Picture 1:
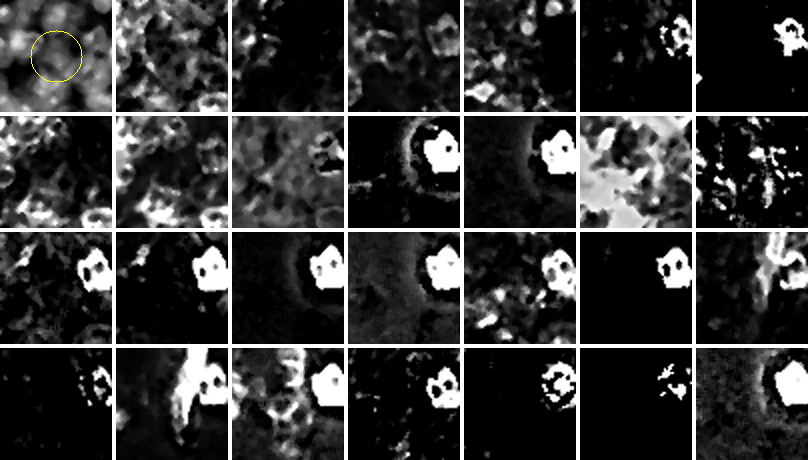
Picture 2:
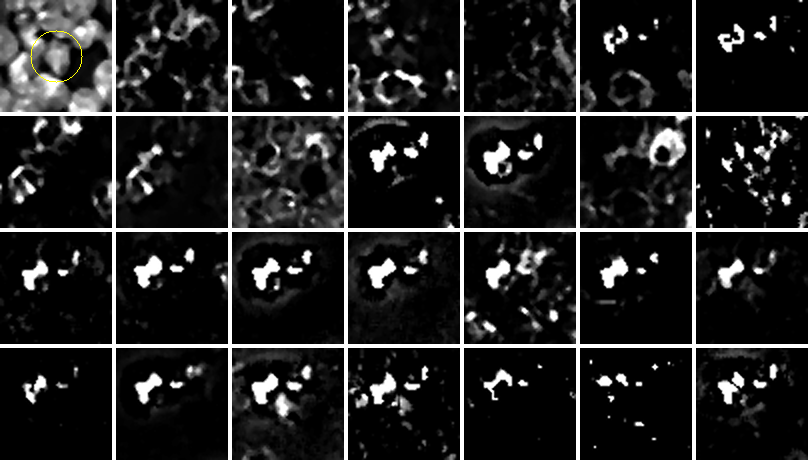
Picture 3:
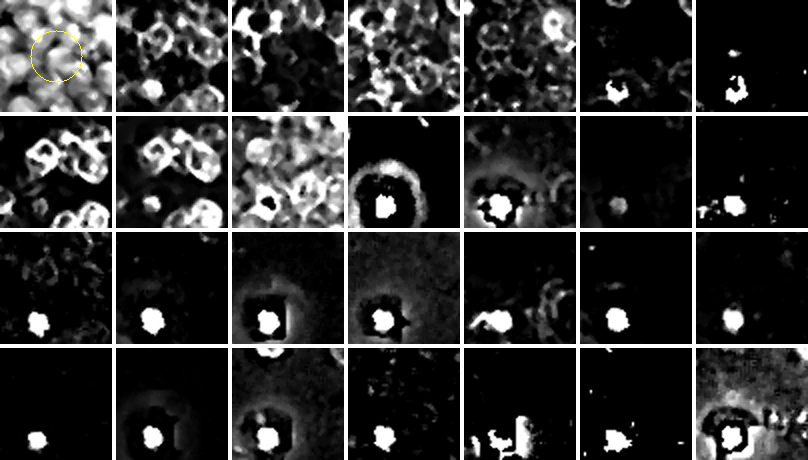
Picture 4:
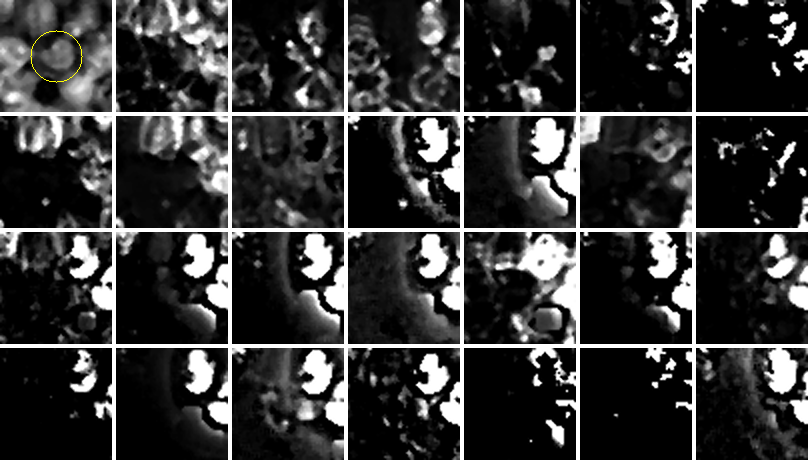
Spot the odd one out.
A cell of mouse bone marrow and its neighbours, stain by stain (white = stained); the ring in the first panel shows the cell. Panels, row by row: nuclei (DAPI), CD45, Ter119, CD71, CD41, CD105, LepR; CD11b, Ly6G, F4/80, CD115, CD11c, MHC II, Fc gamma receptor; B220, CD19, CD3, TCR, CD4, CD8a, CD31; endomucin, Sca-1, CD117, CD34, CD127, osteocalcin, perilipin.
Picture 3 (a monocyte among KLS stem or progenitor cells).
